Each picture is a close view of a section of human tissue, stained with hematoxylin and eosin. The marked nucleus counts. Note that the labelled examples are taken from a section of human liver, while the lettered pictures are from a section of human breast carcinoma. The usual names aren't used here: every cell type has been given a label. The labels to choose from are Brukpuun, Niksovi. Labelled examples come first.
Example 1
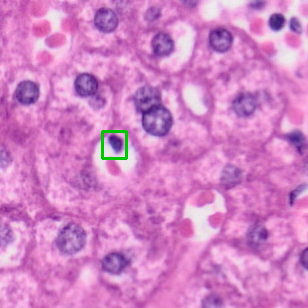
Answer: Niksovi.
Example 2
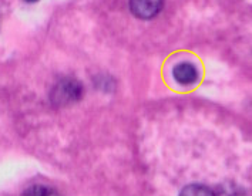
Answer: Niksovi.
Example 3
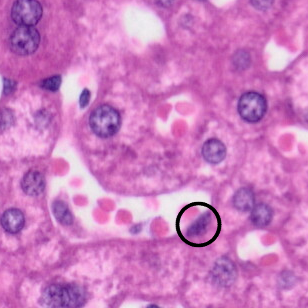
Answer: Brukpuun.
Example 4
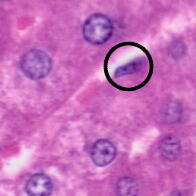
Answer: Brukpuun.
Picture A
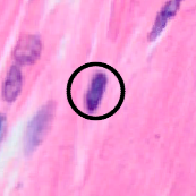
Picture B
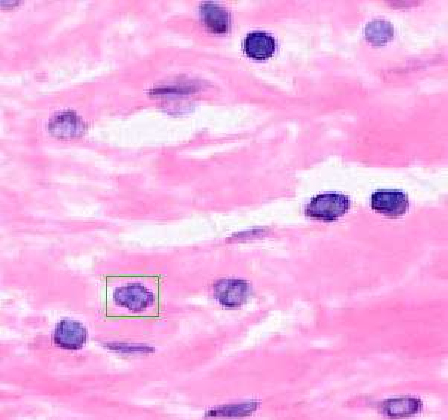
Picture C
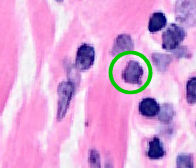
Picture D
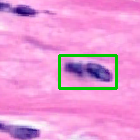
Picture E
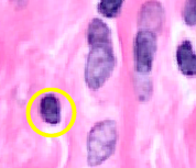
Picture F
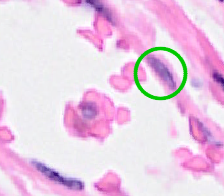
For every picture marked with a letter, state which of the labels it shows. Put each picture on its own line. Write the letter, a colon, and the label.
A: Niksovi.
B: Niksovi.
C: Niksovi.
D: Niksovi.
E: Niksovi.
F: Brukpuun.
